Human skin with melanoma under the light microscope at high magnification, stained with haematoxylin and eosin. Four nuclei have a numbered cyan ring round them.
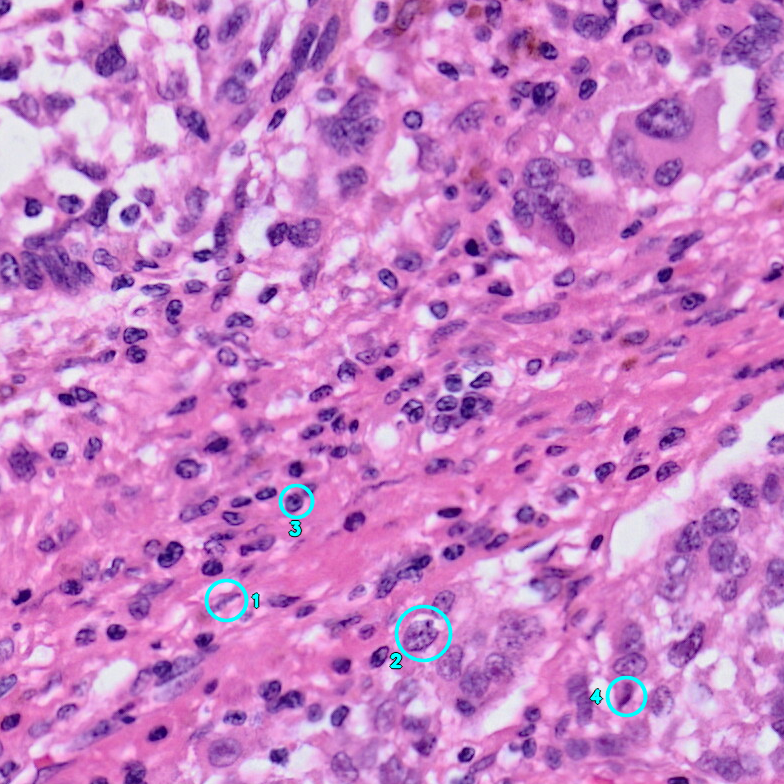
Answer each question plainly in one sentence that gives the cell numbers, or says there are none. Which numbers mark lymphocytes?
The nucleus numbered 3 is the only one that belongs to a lymphocyte.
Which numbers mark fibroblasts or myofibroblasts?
Cell 1 represents a fibroblast or myofibroblast, and no other numbered cell does.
